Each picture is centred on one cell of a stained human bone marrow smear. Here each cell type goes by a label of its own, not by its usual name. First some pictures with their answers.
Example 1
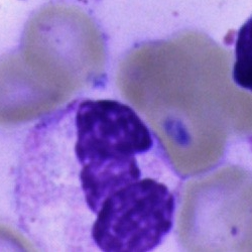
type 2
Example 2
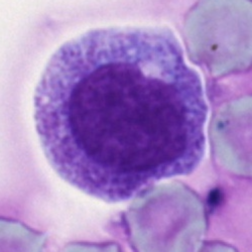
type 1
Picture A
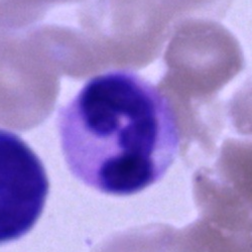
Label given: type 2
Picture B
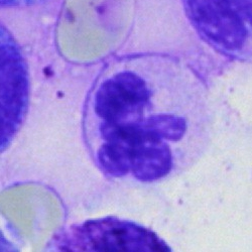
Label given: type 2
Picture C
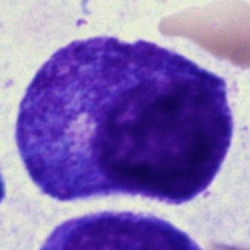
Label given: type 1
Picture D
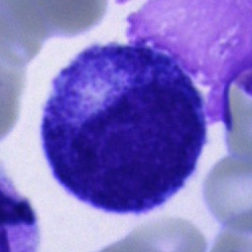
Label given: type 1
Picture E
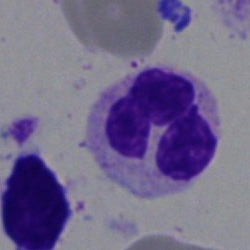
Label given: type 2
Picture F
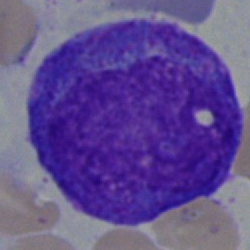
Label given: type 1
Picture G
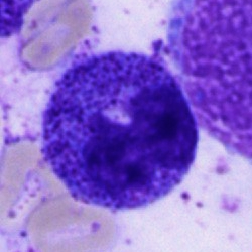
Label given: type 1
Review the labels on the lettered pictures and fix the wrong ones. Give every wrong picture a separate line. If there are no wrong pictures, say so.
Nothing to fix; every label fits.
